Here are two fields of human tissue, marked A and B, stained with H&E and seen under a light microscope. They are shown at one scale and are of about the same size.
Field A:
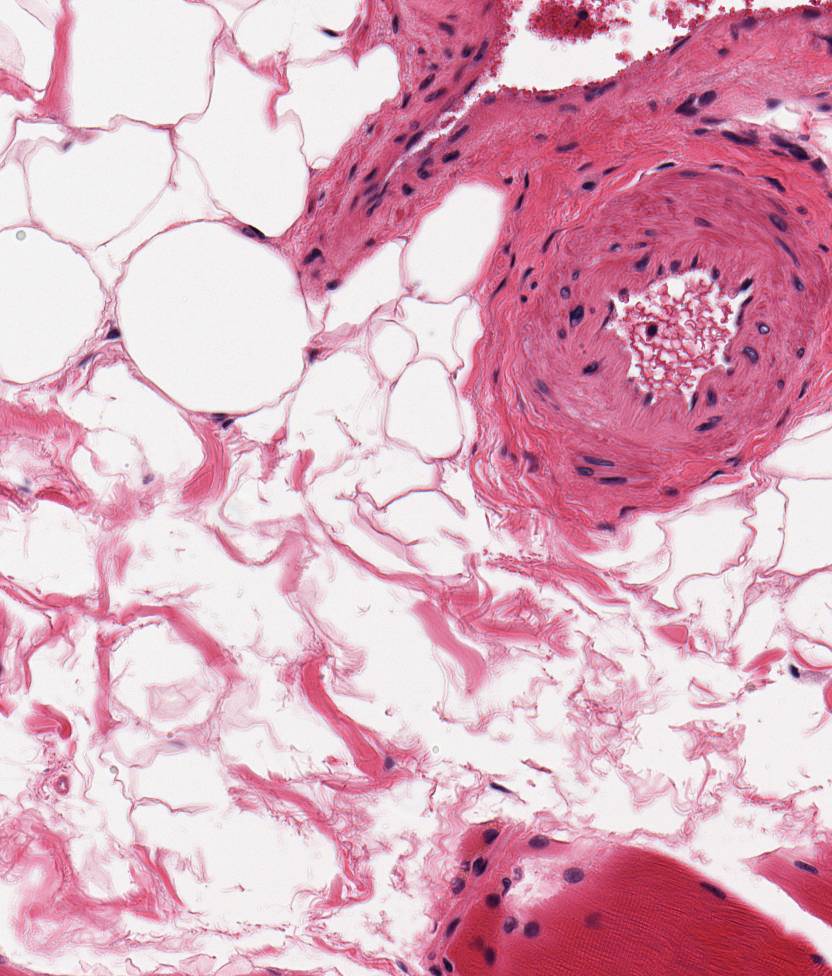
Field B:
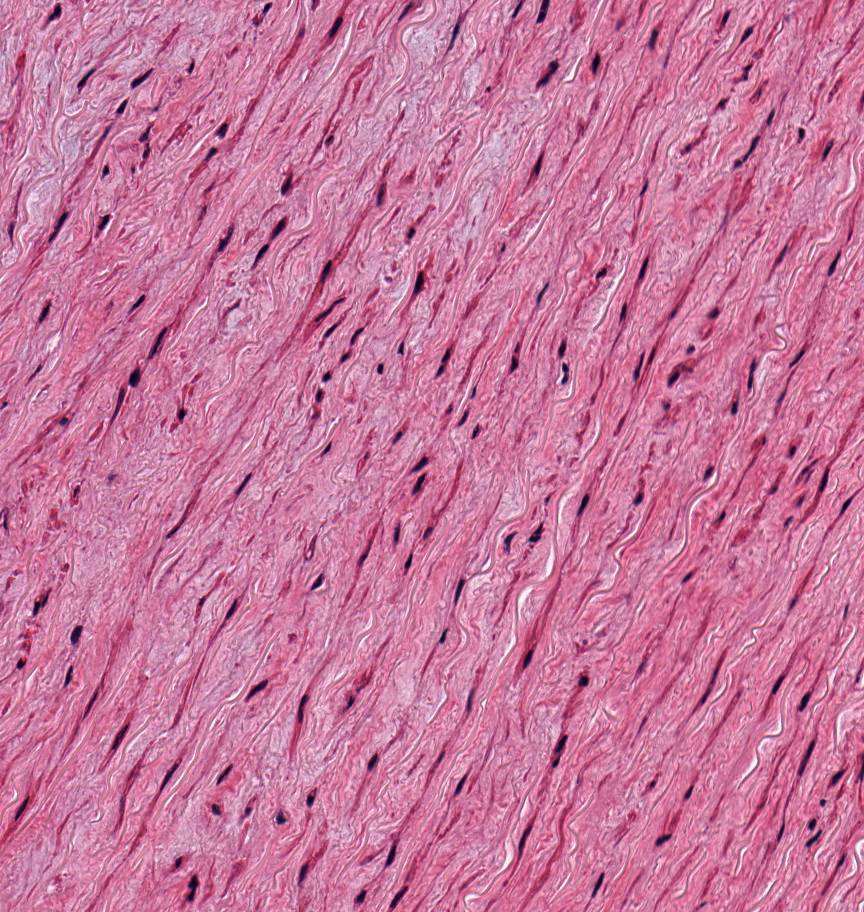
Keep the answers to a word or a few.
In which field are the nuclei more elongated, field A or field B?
B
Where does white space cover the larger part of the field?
A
